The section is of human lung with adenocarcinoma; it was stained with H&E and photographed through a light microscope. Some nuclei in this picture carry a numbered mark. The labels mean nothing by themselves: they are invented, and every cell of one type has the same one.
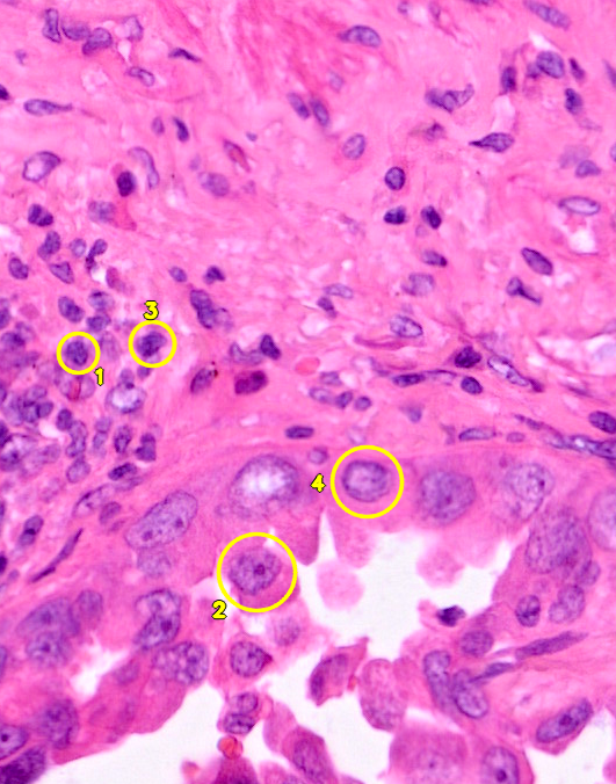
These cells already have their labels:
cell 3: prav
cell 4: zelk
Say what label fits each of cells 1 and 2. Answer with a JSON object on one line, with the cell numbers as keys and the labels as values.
{"1": "prav", "2": "zelk"}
